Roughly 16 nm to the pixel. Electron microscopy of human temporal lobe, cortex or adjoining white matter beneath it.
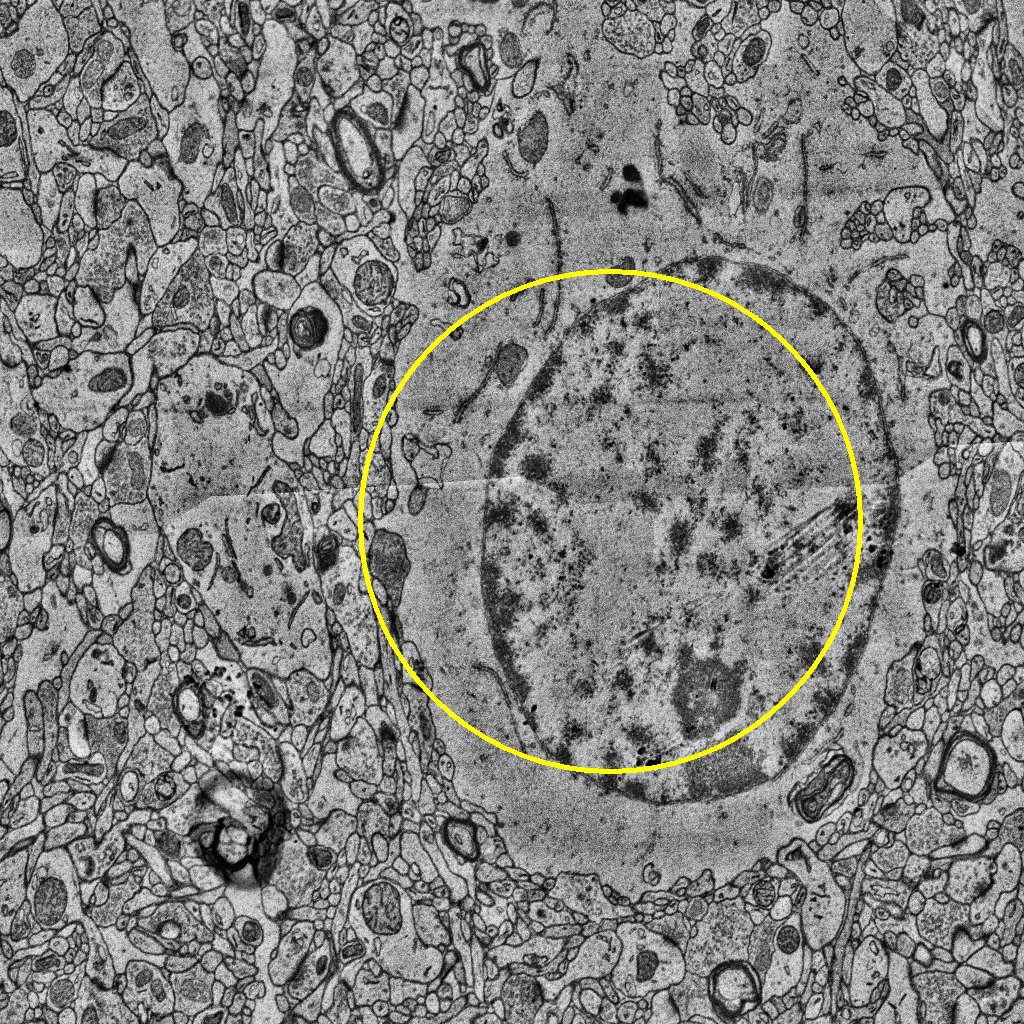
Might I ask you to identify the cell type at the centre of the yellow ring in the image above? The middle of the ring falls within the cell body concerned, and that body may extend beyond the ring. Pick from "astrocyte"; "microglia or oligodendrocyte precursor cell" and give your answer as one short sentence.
The centre of the ring falls on an astrocyte.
